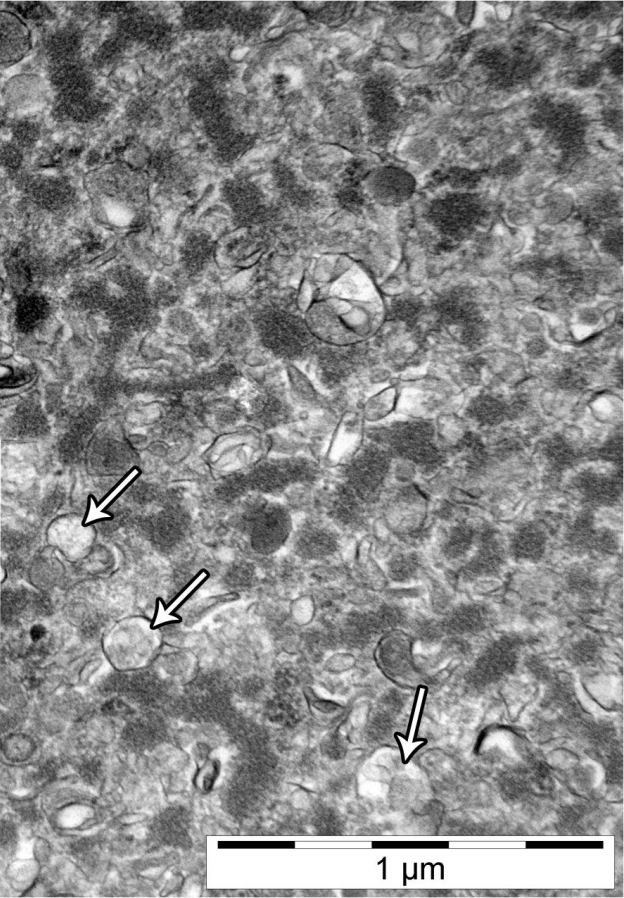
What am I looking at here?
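Many small round or collapsed membrane-bounded profiles of varying size lie crowded together, some clear and some with pale contents, among patches of dark granular material. No intact cells or nuclei are present.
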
